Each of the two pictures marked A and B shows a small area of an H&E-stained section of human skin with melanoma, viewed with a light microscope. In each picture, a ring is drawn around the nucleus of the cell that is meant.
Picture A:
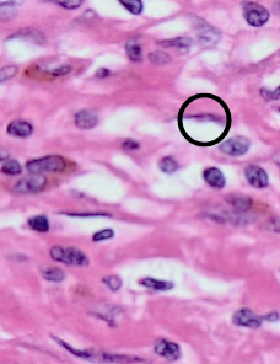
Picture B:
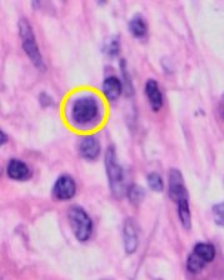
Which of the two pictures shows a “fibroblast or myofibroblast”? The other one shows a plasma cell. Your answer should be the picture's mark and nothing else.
A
